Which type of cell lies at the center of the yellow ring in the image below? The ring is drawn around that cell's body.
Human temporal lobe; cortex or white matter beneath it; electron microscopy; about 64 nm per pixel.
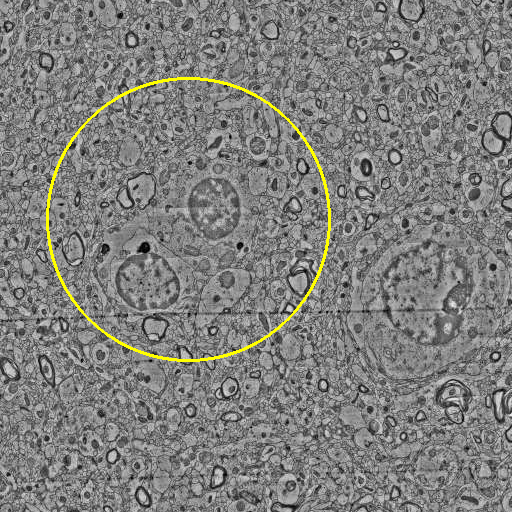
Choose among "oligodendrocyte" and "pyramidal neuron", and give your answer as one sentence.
The cell body at the center belongs to an oligodendrocyte.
